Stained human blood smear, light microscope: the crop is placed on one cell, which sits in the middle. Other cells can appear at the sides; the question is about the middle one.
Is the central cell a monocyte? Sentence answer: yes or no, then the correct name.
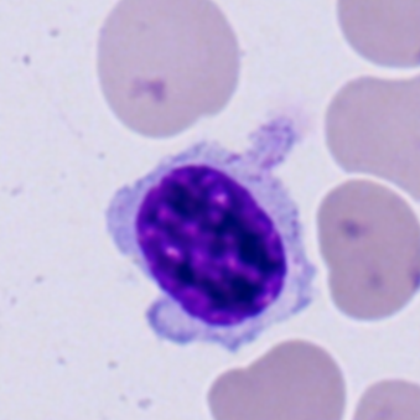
No, the cell at the centre of the crop is a lymphocyte and not a monocyte.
